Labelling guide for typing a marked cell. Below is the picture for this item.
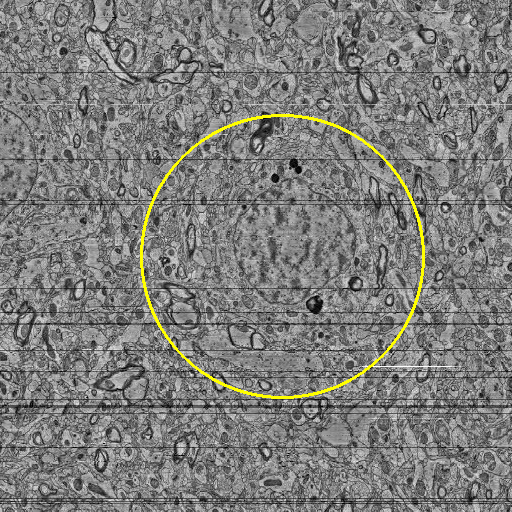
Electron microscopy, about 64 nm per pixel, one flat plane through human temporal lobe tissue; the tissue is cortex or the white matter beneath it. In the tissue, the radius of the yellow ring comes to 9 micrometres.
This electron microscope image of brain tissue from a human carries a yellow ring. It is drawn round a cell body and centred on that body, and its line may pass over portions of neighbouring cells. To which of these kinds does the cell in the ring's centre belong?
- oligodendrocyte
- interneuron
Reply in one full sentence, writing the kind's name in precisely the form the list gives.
Here we have an interneuron at the centre of the yellow ring in the picture.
